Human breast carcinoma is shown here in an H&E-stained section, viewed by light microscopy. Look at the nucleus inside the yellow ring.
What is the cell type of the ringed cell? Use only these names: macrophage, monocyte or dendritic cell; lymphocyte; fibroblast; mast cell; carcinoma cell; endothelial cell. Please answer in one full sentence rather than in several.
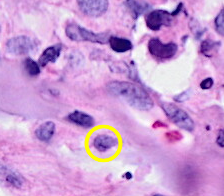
Considered by cell type, the ringed cell is a mast cell.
